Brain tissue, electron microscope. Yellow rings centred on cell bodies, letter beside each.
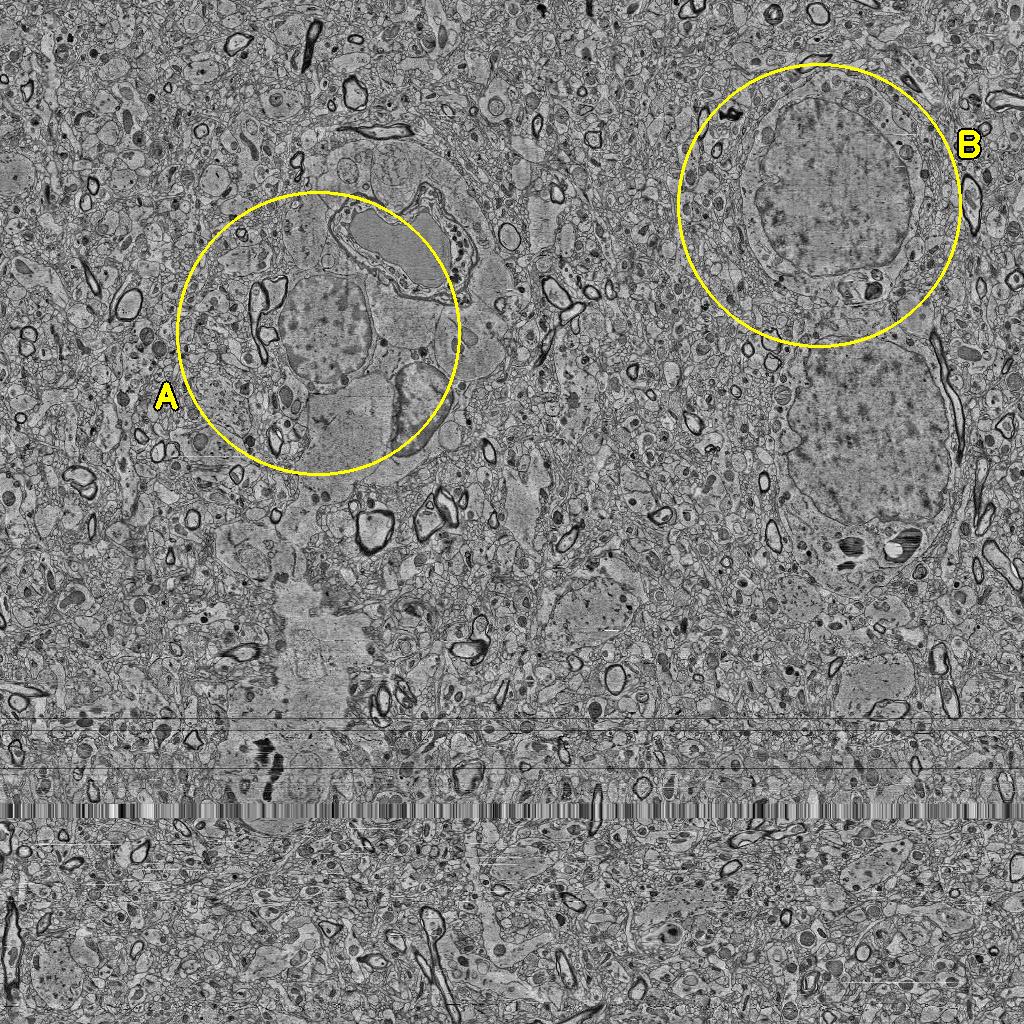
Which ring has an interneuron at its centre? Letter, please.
B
